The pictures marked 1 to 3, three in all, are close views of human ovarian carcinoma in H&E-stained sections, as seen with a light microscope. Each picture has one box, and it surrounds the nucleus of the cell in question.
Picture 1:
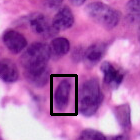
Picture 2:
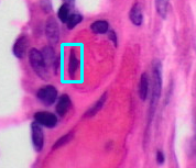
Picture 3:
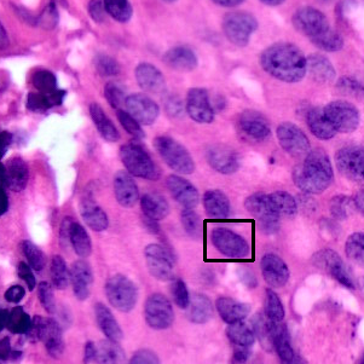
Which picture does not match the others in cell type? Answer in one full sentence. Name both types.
The others show carcinoma cells, but picture 2 shows an endothelial cell.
